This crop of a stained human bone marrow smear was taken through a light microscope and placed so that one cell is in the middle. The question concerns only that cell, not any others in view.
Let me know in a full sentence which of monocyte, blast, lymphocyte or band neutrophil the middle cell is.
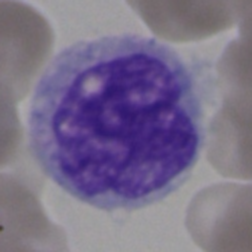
What the crop centres on is a monocyte.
